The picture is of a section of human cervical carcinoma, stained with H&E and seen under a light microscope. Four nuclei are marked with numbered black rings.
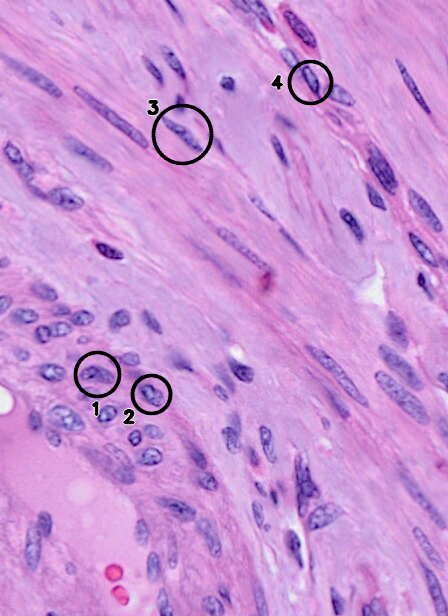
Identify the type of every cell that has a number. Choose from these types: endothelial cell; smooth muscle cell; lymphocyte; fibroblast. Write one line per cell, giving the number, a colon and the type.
1: smooth muscle cell
2: smooth muscle cell
3: fibroblast
4: endothelial cell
